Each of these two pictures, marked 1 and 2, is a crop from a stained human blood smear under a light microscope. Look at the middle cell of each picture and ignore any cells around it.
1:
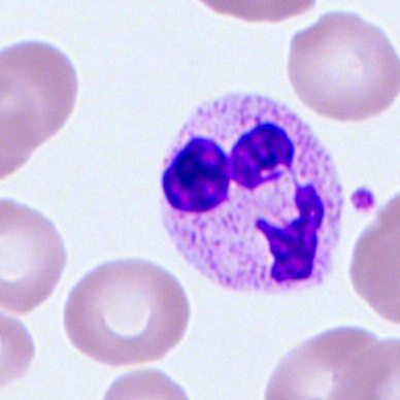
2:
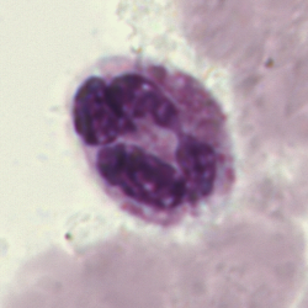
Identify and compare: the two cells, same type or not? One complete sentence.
No, crop 1 features a segmented neutrophil, while crop 2 features an eosinophil.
